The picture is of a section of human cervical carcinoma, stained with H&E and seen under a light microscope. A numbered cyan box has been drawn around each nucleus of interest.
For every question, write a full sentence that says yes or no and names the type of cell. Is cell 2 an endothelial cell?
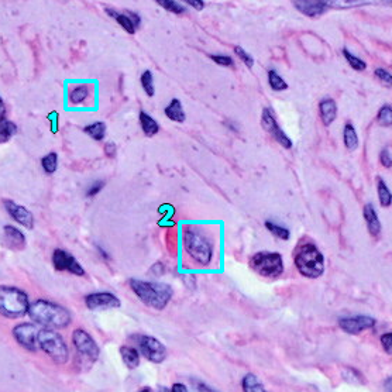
Yes, the cell marked with number 2 is an endothelial cell.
